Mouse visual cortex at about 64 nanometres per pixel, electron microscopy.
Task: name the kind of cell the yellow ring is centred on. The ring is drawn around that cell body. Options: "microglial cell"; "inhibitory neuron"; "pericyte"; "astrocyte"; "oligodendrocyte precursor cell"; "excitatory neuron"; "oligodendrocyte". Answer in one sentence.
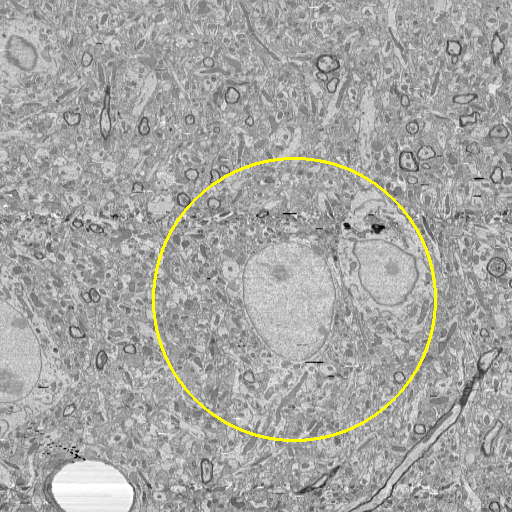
This cell body belongs to an astrocyte.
